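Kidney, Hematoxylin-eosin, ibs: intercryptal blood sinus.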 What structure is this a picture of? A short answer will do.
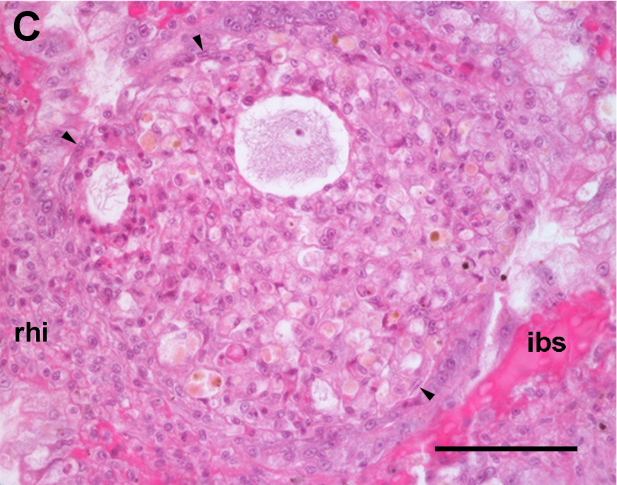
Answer: hemocyte nodules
